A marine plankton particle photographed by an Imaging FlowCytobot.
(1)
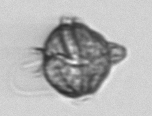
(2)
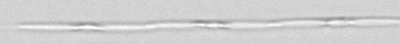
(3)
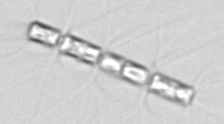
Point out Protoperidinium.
That is picture 1.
